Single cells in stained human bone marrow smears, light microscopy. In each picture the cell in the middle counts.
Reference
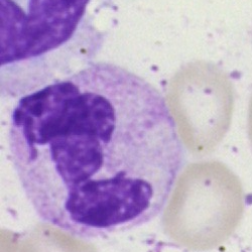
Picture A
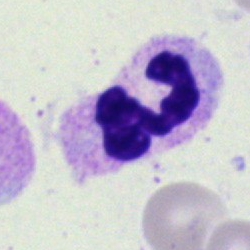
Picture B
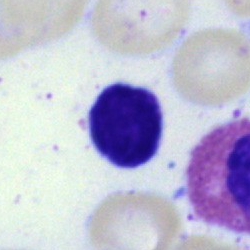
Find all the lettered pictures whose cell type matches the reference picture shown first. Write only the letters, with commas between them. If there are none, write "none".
A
